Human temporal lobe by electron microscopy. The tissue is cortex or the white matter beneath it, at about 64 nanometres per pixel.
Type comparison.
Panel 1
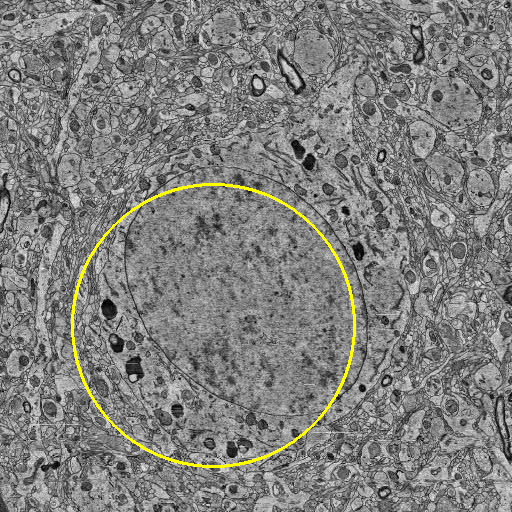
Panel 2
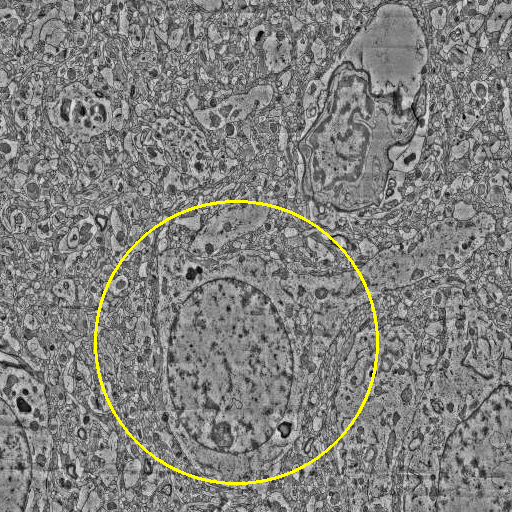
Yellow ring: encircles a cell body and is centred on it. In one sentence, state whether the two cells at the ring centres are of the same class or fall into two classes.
In these panels, the two cells at the ring centres are of the same class.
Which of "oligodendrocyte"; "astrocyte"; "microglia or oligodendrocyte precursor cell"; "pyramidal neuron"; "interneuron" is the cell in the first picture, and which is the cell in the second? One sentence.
Both pictures show a pyramidal neuron at the centre of the ring.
